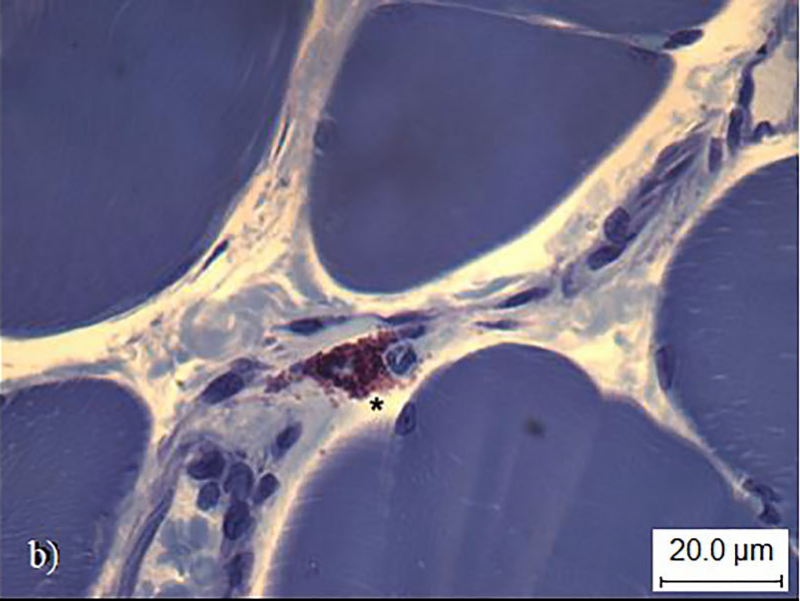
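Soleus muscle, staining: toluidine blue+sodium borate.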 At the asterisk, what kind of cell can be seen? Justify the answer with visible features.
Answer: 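The marked cell is filled with dark purple-red granules. It lies in the pale connective tissue between muscle fibres, among elongated blue nuclei.
Answer: mast cell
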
